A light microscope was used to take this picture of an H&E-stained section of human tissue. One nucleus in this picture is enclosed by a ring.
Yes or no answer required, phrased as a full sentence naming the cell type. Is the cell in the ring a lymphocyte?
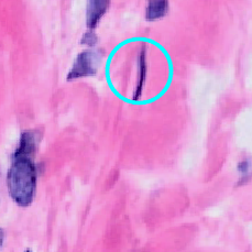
No, the cell in the ring is a fibroblast rather than a lymphocyte in this section.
